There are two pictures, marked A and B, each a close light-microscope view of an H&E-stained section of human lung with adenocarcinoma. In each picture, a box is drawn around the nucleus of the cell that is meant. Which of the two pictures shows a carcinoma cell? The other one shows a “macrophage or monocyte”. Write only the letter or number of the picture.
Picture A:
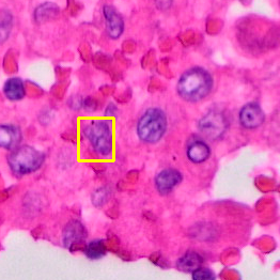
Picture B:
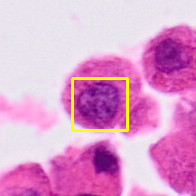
B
